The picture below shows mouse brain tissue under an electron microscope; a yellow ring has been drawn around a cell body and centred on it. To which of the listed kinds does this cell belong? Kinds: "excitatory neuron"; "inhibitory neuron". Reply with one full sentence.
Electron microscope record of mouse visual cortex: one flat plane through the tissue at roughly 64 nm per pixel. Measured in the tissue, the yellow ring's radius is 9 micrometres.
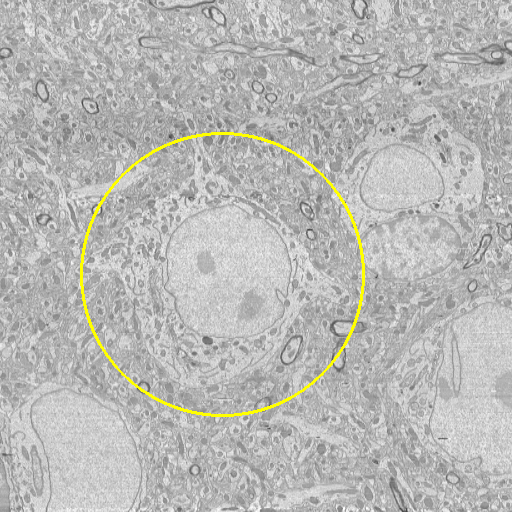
It is an inhibitory neuron that the yellow ring in the picture is centred on.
